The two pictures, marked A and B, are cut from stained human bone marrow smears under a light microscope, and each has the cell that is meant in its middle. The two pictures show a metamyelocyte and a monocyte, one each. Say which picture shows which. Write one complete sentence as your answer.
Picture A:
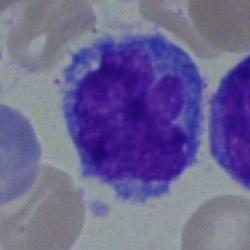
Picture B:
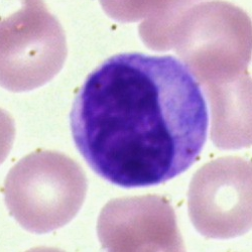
In picture A the cell is a monocyte; in picture B, a metamyelocyte.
